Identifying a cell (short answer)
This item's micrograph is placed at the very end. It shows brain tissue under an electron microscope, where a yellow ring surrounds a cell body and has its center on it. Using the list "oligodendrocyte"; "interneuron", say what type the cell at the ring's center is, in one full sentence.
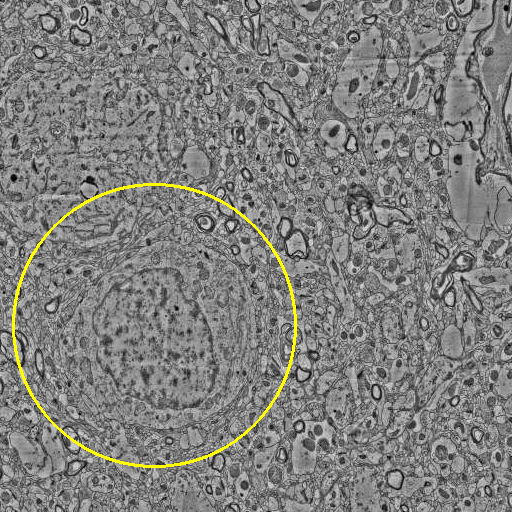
This picture shows an interneuron at the center of the yellow ring drawn on it.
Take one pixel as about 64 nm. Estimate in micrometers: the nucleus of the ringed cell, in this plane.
The nucleus works out at approximately 9 by 7 micrometres in this plane.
